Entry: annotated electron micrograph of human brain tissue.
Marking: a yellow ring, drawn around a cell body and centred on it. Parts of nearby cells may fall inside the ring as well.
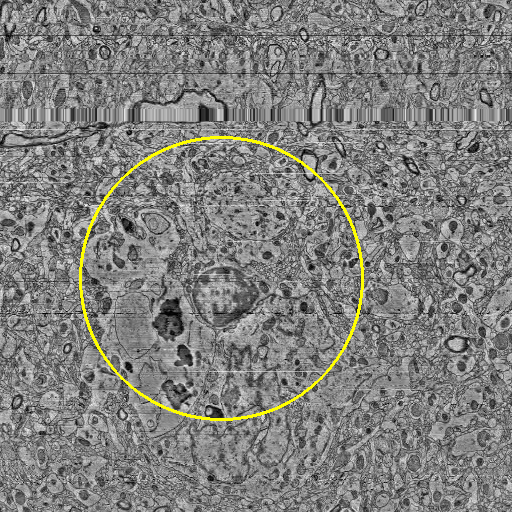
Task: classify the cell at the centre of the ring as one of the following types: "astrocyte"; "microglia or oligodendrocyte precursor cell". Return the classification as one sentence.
The marked cell is classified as a microglial cell or oligodendrocyte precursor cell.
